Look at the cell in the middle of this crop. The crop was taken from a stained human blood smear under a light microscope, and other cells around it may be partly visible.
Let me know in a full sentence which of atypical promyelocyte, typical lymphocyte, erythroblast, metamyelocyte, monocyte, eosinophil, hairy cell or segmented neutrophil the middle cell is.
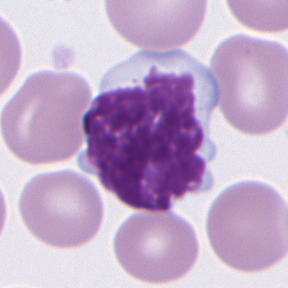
Regarding the central cell, it is a typical lymphocyte.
